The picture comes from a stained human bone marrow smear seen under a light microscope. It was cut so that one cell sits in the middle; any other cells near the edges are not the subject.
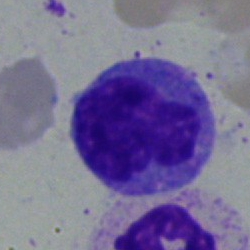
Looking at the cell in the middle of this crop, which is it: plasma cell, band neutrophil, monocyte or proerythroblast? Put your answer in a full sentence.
As for the cell in the middle, it is a monocyte.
